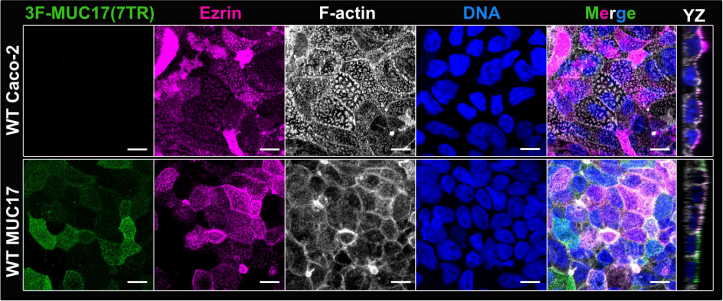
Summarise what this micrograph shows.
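A tightly packed monolayer of cultured epithelial cells is shown, with polygonal cells abutting one another and round to oval blue nuclei filling much of each cell. The white stain outlines the cell borders in a honeycomb pattern, while the magenta stain is patchy, bright over some cells and faint over others. The green stain is absent from the upper row and, in the lower row, fills the surface of a subset of cells in a mosaic.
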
